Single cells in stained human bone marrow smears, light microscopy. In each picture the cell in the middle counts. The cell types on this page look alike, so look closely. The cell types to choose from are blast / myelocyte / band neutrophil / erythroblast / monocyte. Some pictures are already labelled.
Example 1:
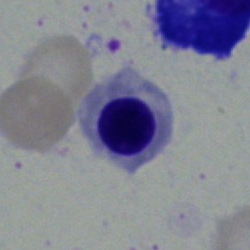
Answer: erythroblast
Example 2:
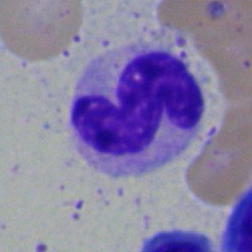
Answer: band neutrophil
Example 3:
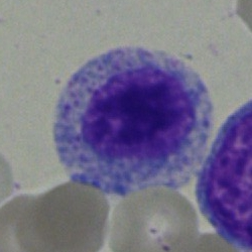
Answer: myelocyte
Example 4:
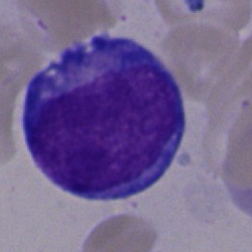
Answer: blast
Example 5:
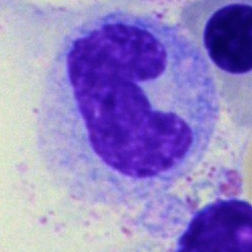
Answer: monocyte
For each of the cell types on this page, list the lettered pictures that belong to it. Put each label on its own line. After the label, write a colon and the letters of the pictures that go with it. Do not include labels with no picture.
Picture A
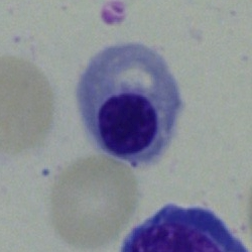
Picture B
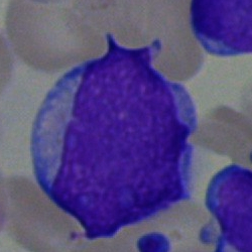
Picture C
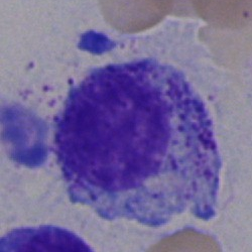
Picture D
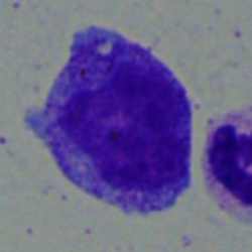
blast: B
myelocyte: C, D
erythroblast: A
